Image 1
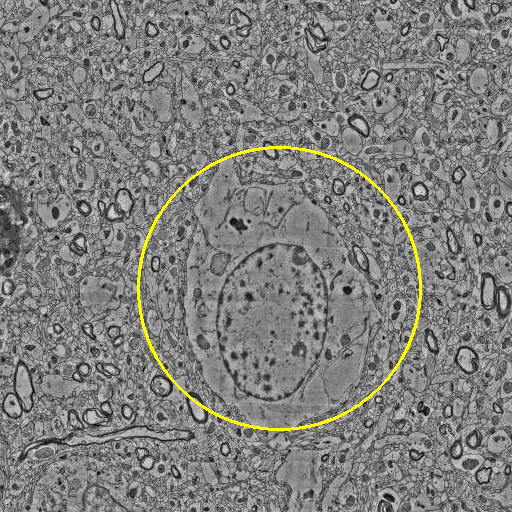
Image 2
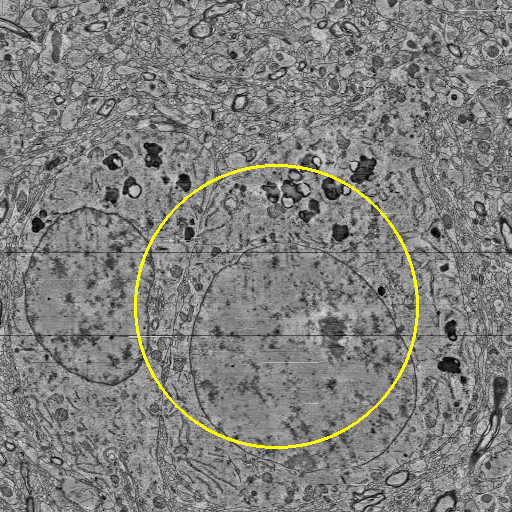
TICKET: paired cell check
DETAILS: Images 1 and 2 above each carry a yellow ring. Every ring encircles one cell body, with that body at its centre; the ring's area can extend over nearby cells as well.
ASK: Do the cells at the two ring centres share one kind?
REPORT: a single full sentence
No, the ring-centre cells of Images 1 and 2 belong to two kinds.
